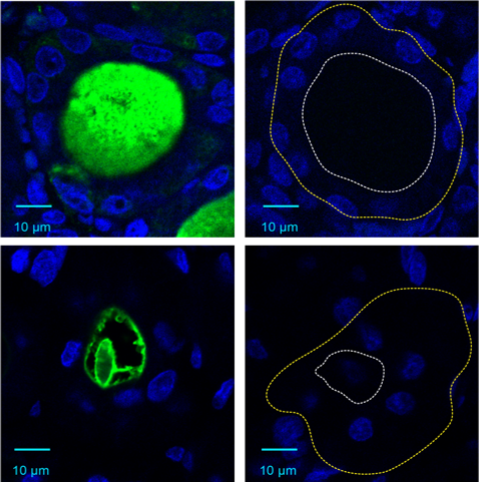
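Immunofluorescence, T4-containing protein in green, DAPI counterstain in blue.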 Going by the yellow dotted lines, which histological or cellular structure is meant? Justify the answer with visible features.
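In the right-hand images, a yellow dotted line encircles a ring of blue nuclei around a nucleus-free centre.
Thyroid follicle.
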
